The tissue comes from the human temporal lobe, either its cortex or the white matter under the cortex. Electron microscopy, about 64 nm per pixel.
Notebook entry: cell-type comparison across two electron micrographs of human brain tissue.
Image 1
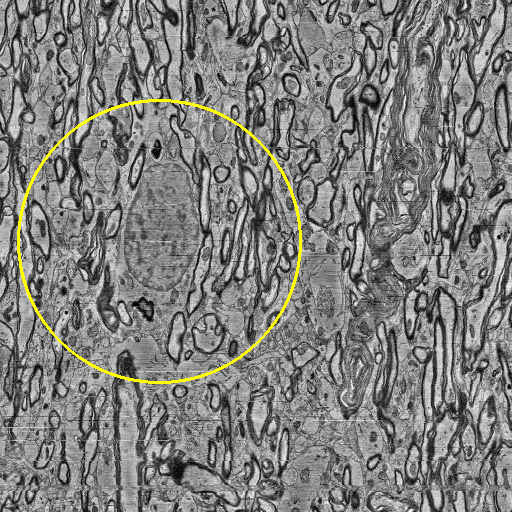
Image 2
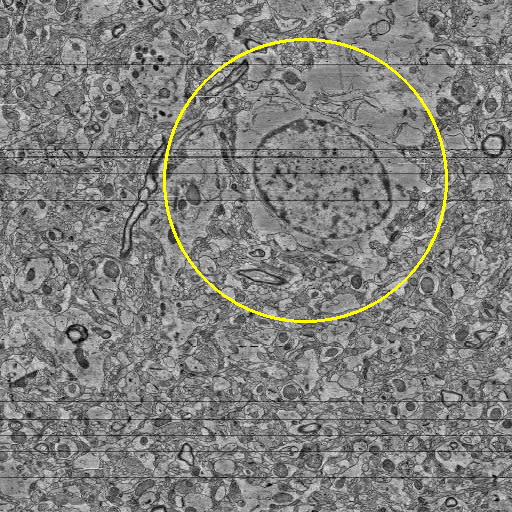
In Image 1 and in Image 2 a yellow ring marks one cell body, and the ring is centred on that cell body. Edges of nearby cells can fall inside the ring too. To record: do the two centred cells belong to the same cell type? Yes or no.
no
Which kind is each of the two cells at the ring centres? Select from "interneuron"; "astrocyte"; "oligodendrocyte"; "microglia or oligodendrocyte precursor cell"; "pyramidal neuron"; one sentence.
The cell at the centre of the ring is an oligodendrocyte in the first picture and an astrocyte in the second.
